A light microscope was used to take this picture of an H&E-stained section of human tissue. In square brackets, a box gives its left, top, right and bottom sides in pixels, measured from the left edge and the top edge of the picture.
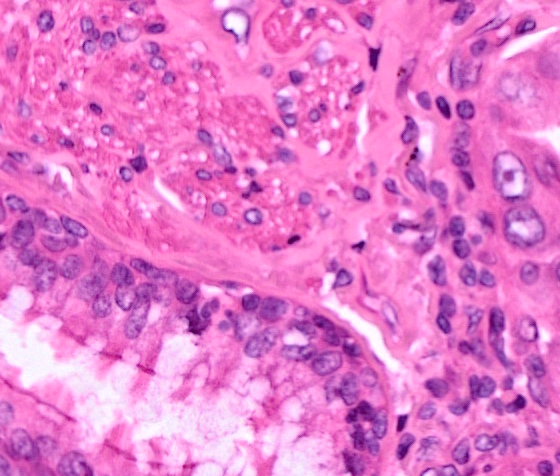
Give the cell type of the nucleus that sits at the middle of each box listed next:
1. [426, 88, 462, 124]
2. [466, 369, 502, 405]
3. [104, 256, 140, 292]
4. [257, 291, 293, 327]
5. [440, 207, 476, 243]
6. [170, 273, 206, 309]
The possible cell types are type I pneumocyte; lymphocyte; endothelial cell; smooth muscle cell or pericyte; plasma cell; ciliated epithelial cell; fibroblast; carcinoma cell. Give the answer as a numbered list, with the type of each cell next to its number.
1. lymphocyte
2. lymphocyte
3. ciliated epithelial cell
4. ciliated epithelial cell
5. lymphocyte
6. ciliated epithelial cell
